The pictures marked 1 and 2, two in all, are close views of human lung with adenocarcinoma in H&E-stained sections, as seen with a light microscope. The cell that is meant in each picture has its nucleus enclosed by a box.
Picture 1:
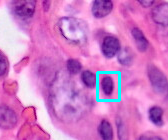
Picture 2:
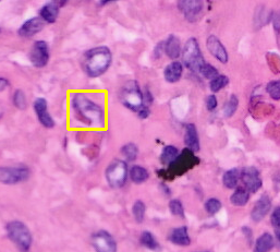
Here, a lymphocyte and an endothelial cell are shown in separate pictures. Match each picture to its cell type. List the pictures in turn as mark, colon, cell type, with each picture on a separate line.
1: lymphocyte
2: endothelial cell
